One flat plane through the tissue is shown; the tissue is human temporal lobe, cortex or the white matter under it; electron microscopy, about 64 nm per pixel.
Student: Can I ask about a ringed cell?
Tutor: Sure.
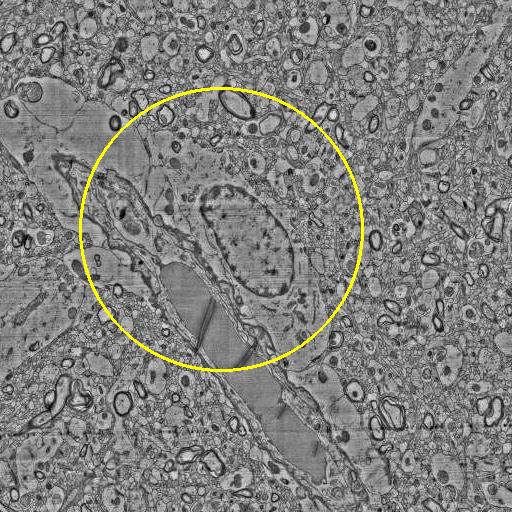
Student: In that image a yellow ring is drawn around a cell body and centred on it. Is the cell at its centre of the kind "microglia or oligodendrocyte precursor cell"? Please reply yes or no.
Yes, the cell is of that kind.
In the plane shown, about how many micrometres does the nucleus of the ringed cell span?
In this plane, approximately 8 by 4 micrometers, and clearly longer than it is wide.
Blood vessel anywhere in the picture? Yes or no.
Yes, a vessel shows somewhere in the image.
